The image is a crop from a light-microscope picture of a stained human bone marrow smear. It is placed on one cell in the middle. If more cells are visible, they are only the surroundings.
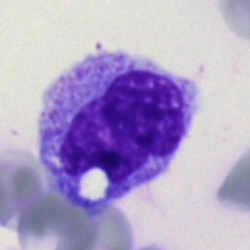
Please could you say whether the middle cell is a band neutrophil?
no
